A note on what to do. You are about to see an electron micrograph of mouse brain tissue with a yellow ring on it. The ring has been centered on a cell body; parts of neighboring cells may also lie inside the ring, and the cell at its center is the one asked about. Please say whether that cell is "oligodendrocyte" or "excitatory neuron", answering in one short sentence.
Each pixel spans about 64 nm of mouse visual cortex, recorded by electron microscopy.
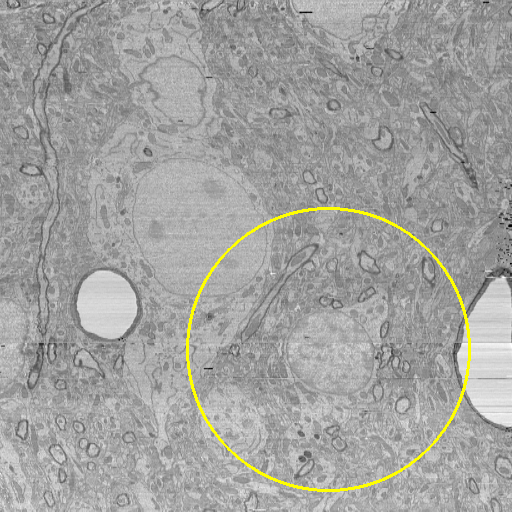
The yellow ring sits on an oligodendrocyte.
